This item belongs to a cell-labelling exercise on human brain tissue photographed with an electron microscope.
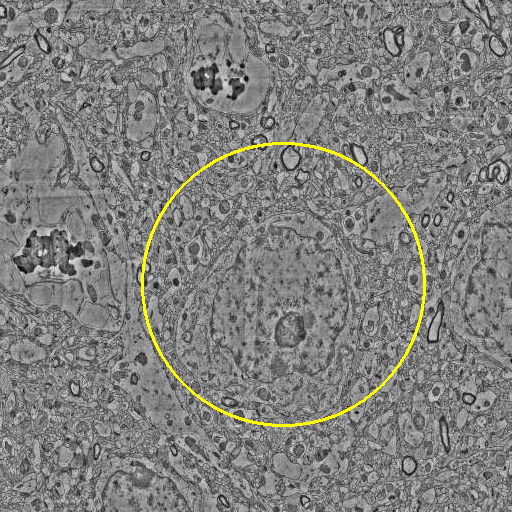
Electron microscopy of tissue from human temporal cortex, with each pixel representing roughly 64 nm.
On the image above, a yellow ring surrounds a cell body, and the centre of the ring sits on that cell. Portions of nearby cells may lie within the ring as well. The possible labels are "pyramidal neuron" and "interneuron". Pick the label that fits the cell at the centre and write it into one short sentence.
This cell should be labelled as an interneuron.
